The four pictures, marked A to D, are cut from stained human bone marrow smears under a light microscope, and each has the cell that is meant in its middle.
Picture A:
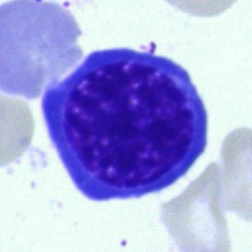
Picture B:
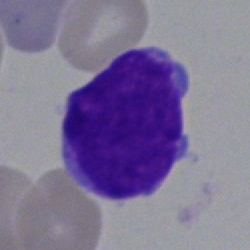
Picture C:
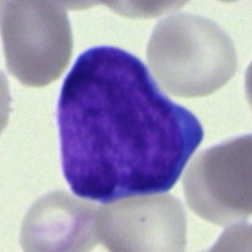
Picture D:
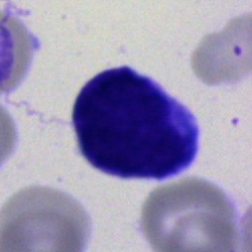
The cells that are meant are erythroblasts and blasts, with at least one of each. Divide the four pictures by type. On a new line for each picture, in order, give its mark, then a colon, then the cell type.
A: erythroblast
B: blast
C: blast
D: blast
